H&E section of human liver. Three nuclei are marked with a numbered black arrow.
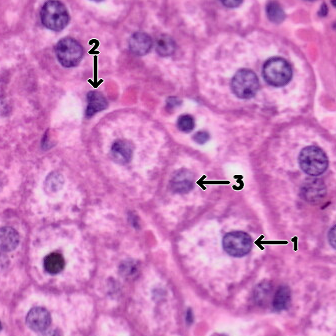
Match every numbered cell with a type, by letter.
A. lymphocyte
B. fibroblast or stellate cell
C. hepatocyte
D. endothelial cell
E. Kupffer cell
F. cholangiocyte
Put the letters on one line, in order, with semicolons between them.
C; E; C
